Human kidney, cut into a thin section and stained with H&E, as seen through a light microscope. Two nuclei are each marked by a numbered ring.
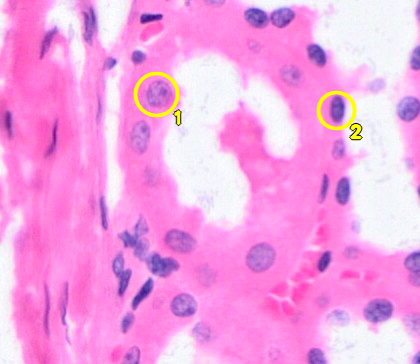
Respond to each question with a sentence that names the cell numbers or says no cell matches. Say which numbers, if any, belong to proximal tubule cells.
Mind that only cell 1 is a proximal tubule cell, none of the rest.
